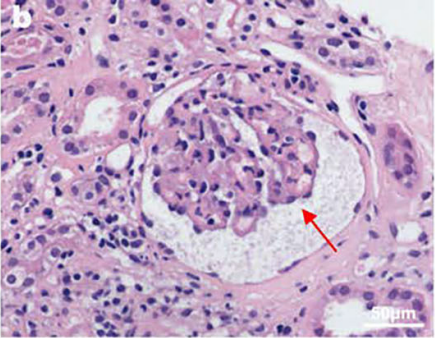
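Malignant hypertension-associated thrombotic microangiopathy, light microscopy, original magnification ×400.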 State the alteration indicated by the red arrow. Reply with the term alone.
Glomerular ischemic shrinkage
